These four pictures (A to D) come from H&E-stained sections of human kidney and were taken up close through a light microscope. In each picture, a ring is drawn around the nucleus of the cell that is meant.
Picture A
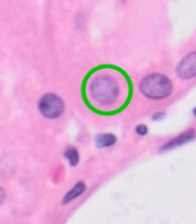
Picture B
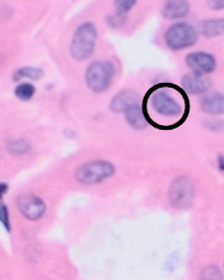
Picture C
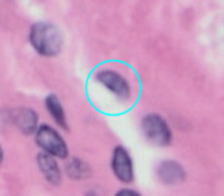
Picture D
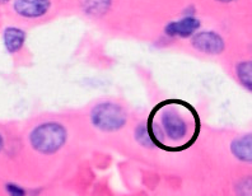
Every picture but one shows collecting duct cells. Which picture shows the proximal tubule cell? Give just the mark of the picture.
A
